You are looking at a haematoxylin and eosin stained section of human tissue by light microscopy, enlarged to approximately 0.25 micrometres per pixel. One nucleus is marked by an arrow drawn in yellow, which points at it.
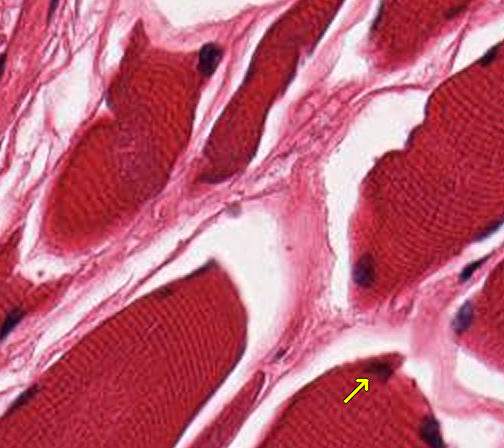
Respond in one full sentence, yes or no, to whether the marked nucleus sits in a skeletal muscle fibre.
Yes, the marked nucleus is found within a skeletal muscle fibre.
